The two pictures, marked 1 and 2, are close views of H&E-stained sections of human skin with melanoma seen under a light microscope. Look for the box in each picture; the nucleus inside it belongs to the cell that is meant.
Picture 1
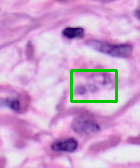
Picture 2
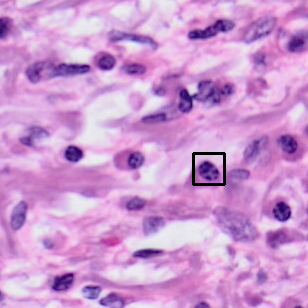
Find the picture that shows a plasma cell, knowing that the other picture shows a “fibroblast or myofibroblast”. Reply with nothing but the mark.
2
